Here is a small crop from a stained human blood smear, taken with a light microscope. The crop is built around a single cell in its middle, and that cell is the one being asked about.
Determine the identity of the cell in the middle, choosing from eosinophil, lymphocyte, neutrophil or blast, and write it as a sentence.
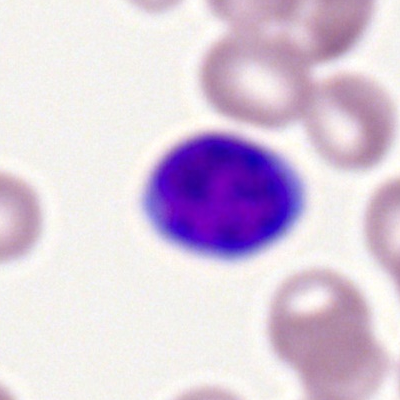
The cell centered in this field of view is a lymphocyte.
